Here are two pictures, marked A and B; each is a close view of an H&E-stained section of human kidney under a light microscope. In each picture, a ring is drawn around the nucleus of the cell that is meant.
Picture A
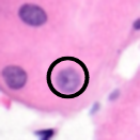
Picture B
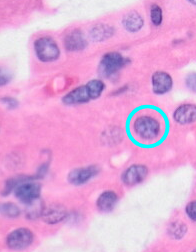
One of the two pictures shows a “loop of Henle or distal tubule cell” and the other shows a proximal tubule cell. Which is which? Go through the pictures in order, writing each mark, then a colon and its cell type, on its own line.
A: proximal tubule cell
B: loop of Henle or distal tubule cell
